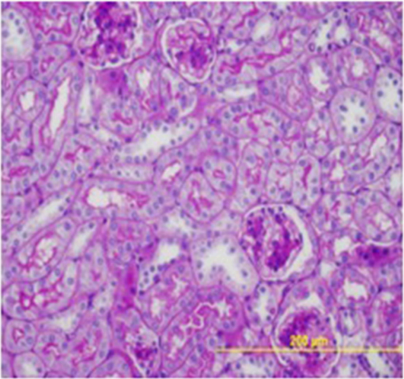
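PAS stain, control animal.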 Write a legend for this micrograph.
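This is kidney tissue with round glomeruli lying among closely packed tubules. Each glomerular tuft is surrounded by a clear crescent of space inside its capsule. The tubules are lined by cuboidal cells with blue-purple nuclei, and magenta material outlines their basement membranes and luminal borders.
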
